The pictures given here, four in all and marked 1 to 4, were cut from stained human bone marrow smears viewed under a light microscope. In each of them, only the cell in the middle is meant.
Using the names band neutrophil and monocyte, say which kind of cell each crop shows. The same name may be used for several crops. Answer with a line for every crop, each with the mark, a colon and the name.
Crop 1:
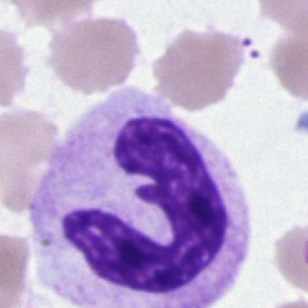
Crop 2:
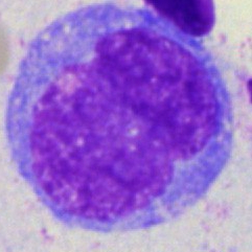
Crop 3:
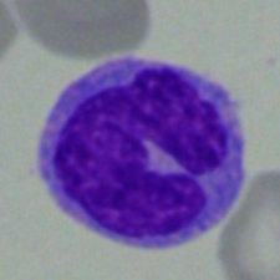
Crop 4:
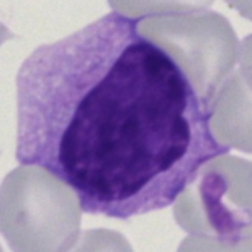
1: band neutrophil
2: monocyte
3: monocyte
4: monocyte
